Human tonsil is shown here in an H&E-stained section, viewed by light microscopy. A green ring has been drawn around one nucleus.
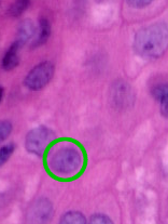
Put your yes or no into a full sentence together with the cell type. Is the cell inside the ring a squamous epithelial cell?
Yes, the description of the cell inside the ring as a squamous epithelial cell is accurate.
